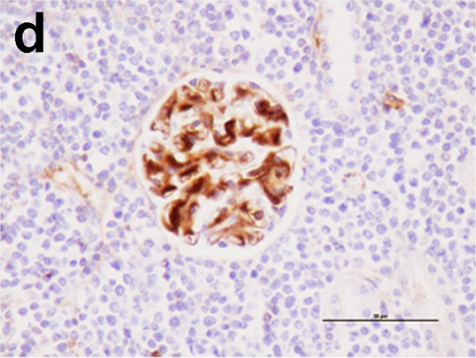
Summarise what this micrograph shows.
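This is kidney tissue with a single glomerulus surrounded by a dense infiltrate of lymphocytes. The glomerulus is a round, lobulated tuft whose capillary loops are outlined by strong brown staining. A narrow clear space and a thin capsule separate the tuft from the surrounding tissue. Around it, sheets of small, round, closely packed cells with dark blue nuclei and scant cytoplasm obscure the normal tubules. Only faint outlines of tubular profiles can be made out among the infiltrating cells.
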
